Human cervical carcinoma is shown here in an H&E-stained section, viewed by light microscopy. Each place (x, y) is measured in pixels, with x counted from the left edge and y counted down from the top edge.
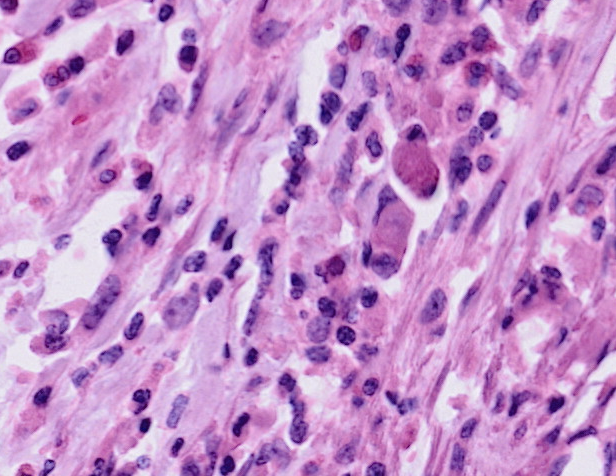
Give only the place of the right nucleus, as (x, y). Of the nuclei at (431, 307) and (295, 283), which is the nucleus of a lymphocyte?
(295, 283)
